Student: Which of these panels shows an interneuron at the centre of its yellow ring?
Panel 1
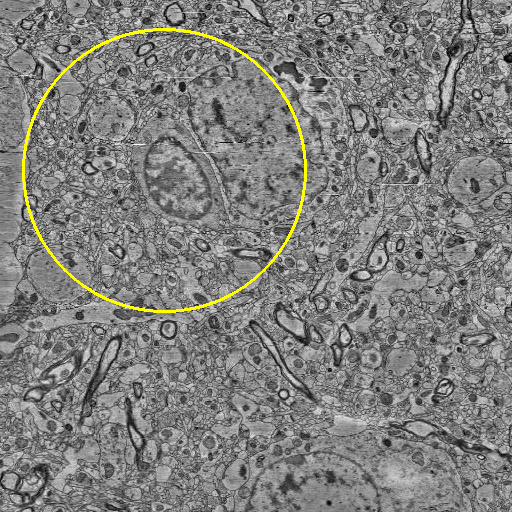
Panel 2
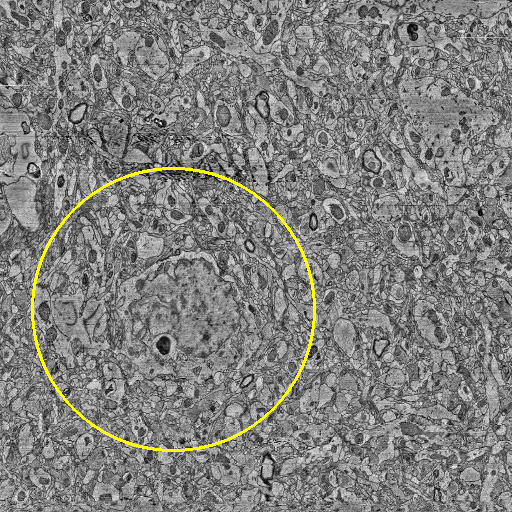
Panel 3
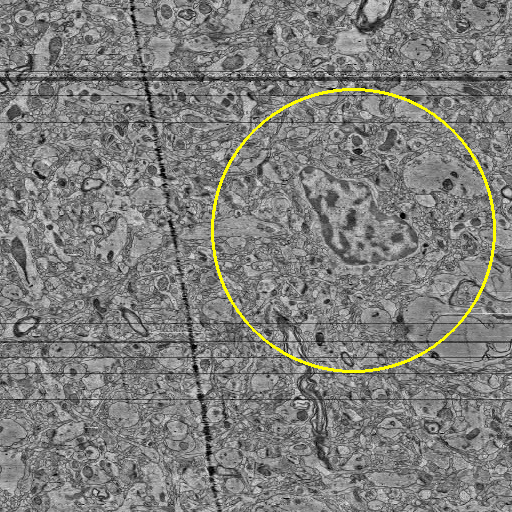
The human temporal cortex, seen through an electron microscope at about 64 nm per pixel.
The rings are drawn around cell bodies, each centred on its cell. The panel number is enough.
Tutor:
2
